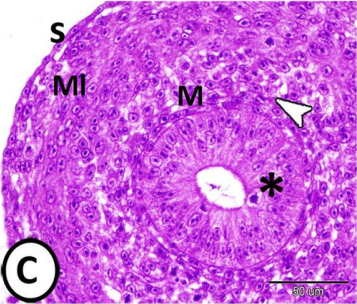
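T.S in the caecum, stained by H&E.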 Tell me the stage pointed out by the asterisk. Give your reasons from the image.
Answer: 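Mitotic divisions. The asterisk lies beside a small, densely dark-stained cell near the lumen in the inner epithelium. Its chromatin is condensed rather than in a round pale nucleus.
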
